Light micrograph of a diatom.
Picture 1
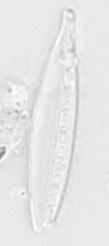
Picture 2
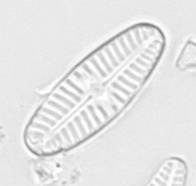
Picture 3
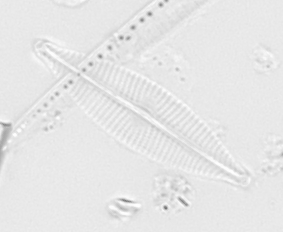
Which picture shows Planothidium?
Picture 2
